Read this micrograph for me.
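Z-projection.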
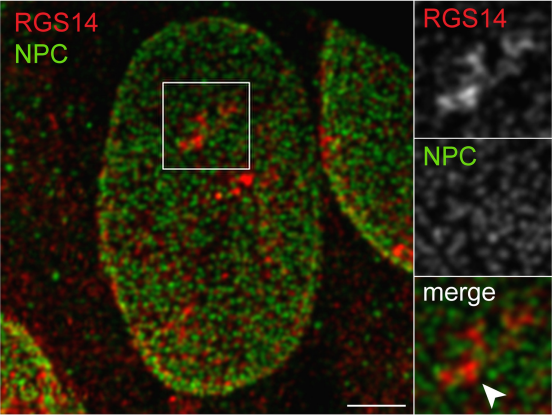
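The nuclear surface is covered by many small green dots evenly spread over the whole face. Near the upper middle, a boxed area contains irregular red patches amid the green dots. The enlarged views show the red signal forming a tortuous, branching patch while the green dots stay separate around it. Parts of neighbouring nuclei are seen at the edges.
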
